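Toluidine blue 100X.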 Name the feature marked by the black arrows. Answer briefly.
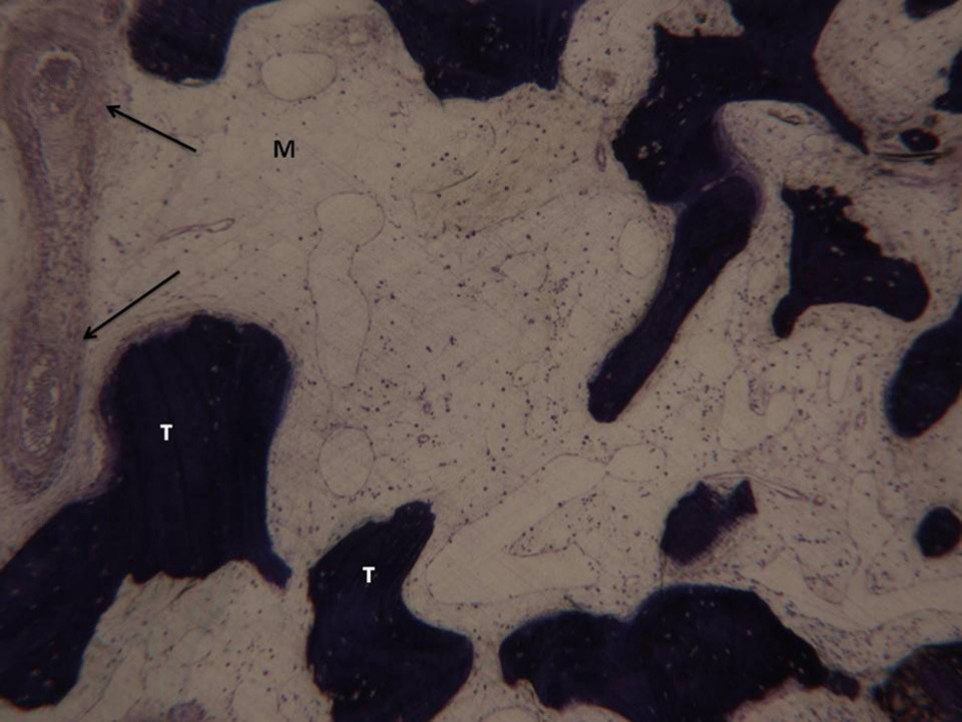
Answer: Vessels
